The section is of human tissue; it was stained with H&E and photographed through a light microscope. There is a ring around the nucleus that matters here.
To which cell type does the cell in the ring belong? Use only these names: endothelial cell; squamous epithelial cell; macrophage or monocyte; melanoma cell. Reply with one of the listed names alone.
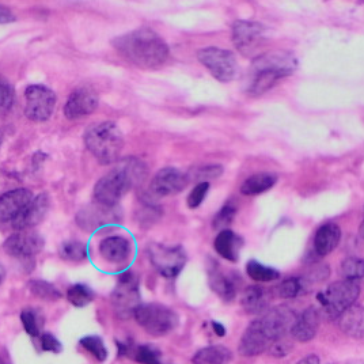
macrophage or monocyte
